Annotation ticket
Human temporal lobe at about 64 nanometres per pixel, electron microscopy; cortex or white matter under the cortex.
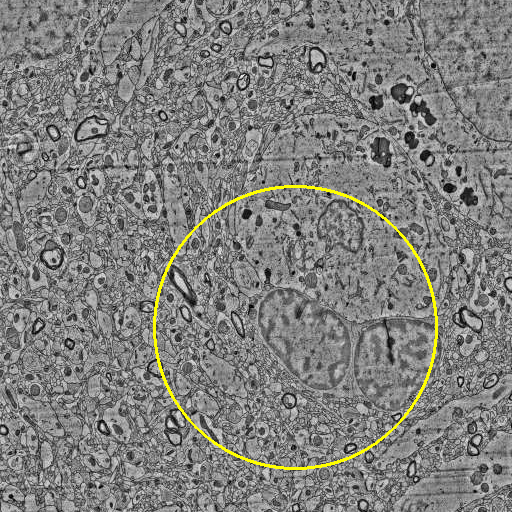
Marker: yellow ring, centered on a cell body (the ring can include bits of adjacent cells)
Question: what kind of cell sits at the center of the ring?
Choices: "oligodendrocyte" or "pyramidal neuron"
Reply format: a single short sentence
The ring is centered on an oligodendrocyte.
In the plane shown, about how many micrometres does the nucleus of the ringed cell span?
The ringed cell's nucleus measures approximately 7 by 5 micrometres in this plane.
